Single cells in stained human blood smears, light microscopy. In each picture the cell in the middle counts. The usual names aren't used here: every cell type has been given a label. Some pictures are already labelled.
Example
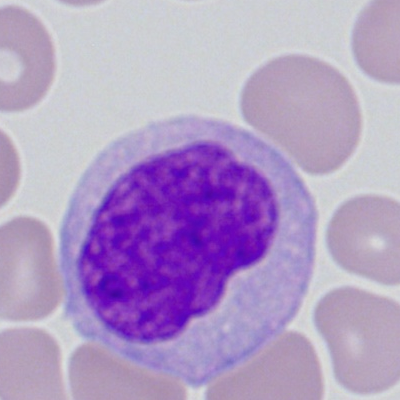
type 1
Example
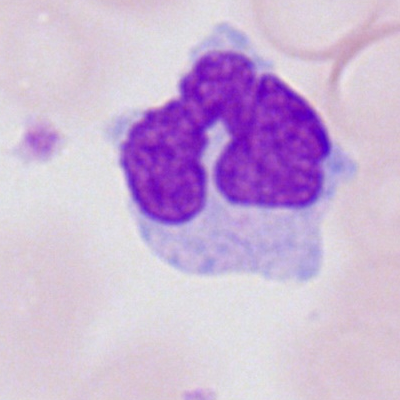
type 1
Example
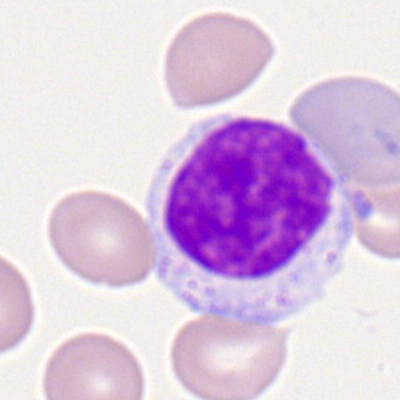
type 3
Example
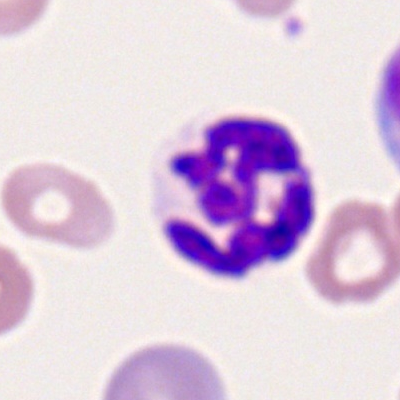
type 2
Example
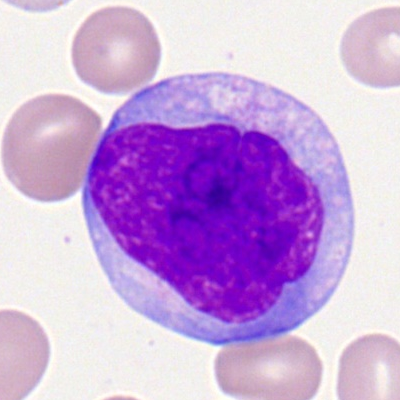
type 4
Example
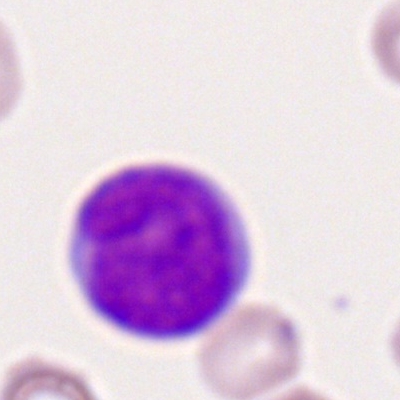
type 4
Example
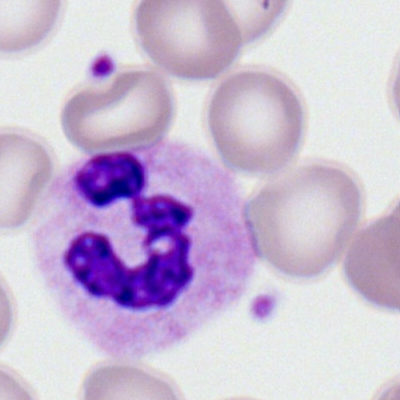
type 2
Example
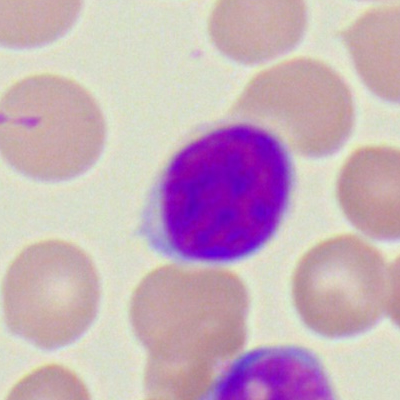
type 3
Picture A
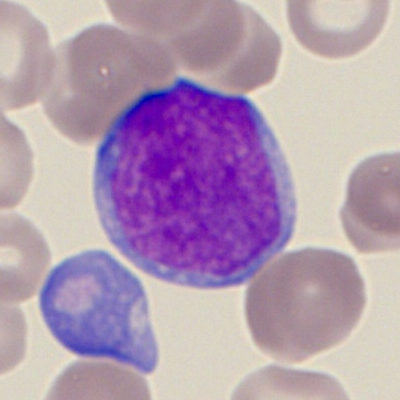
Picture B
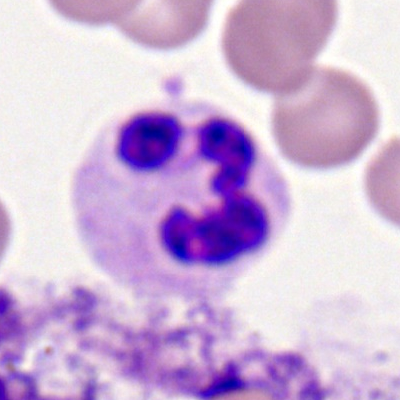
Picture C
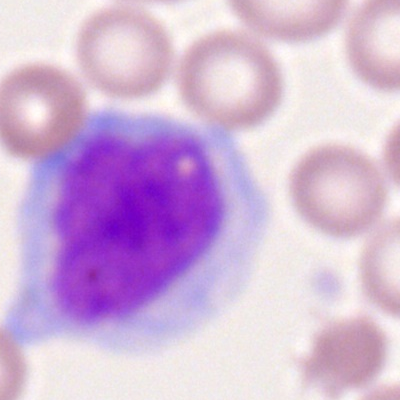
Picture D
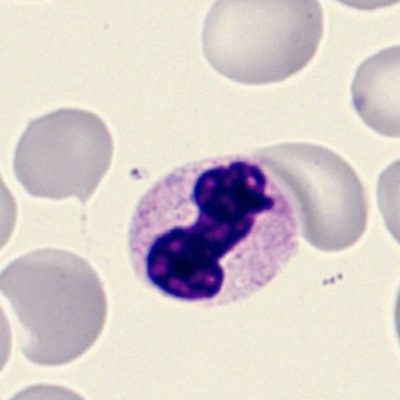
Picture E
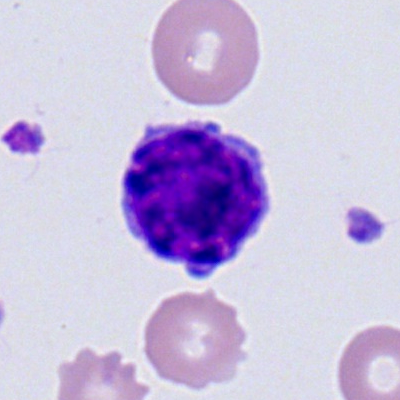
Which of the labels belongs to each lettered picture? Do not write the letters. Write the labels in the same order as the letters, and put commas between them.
type 4, type 2, type 1, type 2, type 3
